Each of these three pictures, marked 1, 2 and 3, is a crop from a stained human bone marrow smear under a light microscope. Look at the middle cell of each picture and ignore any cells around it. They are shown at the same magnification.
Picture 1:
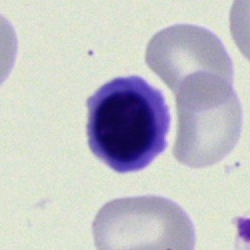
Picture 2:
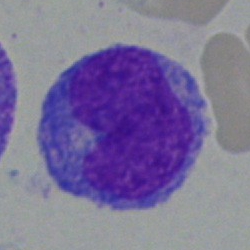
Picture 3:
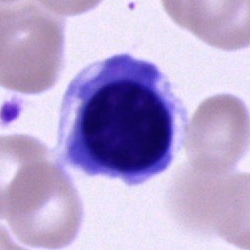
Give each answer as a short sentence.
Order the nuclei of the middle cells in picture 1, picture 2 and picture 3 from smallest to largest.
Going up, they run 1, 3, 2.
